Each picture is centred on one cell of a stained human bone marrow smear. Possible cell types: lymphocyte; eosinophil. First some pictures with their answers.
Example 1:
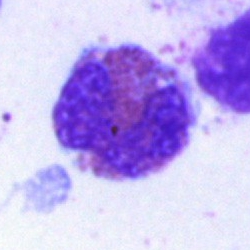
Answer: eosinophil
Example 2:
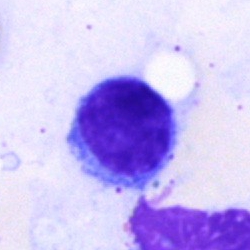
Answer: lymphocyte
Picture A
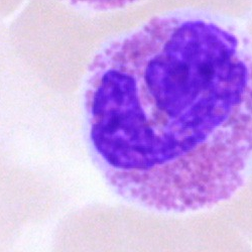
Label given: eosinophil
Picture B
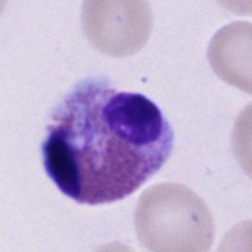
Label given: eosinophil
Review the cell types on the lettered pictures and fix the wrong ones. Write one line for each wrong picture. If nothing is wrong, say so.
None of the labels needs changing.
